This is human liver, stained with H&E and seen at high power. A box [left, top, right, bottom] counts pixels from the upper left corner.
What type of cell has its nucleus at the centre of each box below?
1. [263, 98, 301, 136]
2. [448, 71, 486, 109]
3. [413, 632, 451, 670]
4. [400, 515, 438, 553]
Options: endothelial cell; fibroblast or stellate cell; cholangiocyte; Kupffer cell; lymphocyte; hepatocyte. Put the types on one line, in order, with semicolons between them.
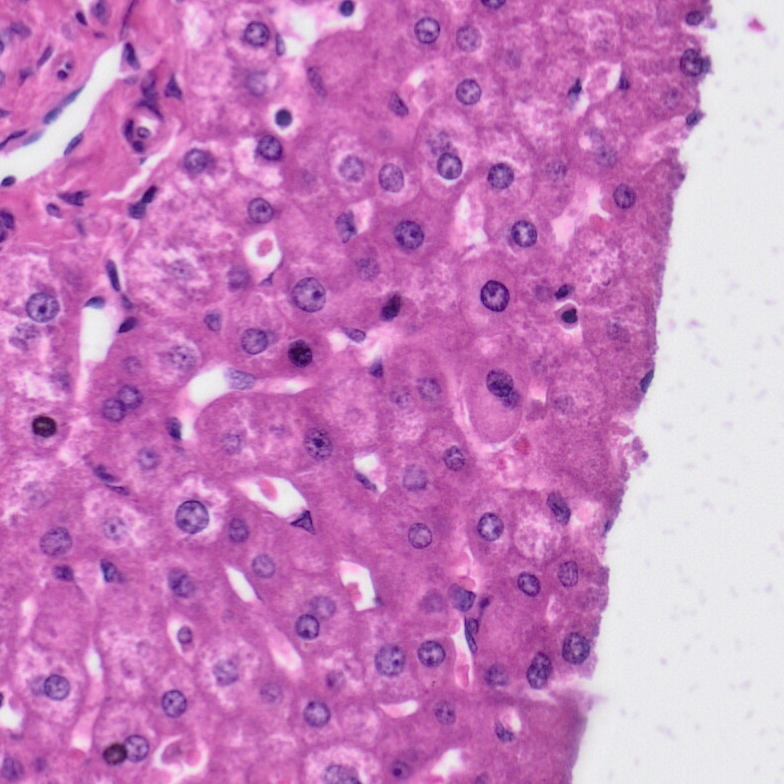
lymphocyte; hepatocyte; hepatocyte; hepatocyte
